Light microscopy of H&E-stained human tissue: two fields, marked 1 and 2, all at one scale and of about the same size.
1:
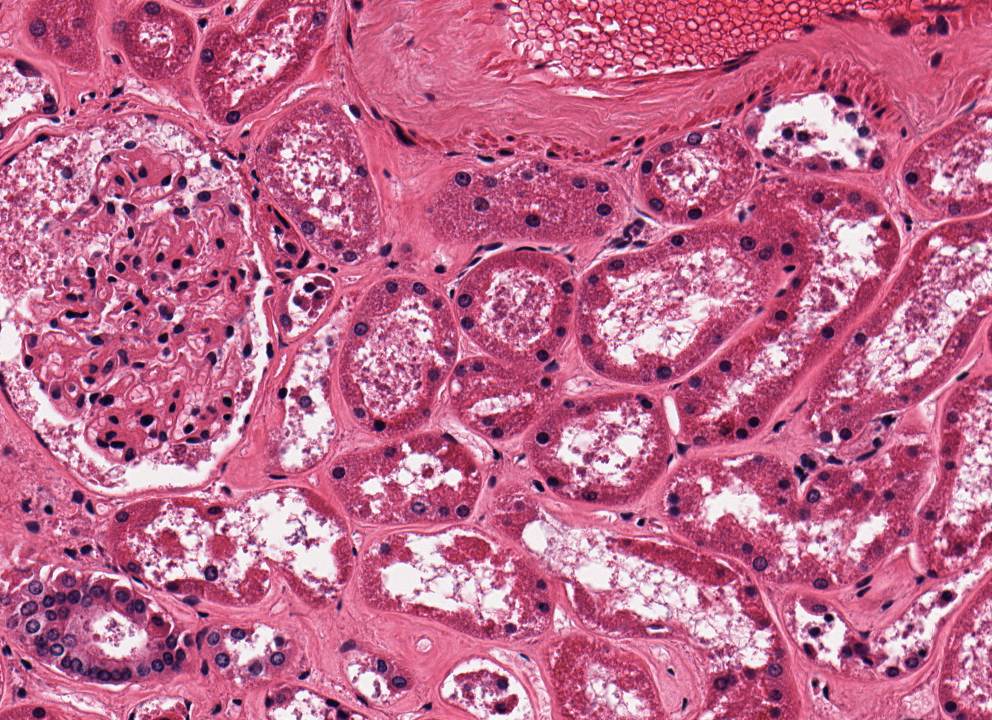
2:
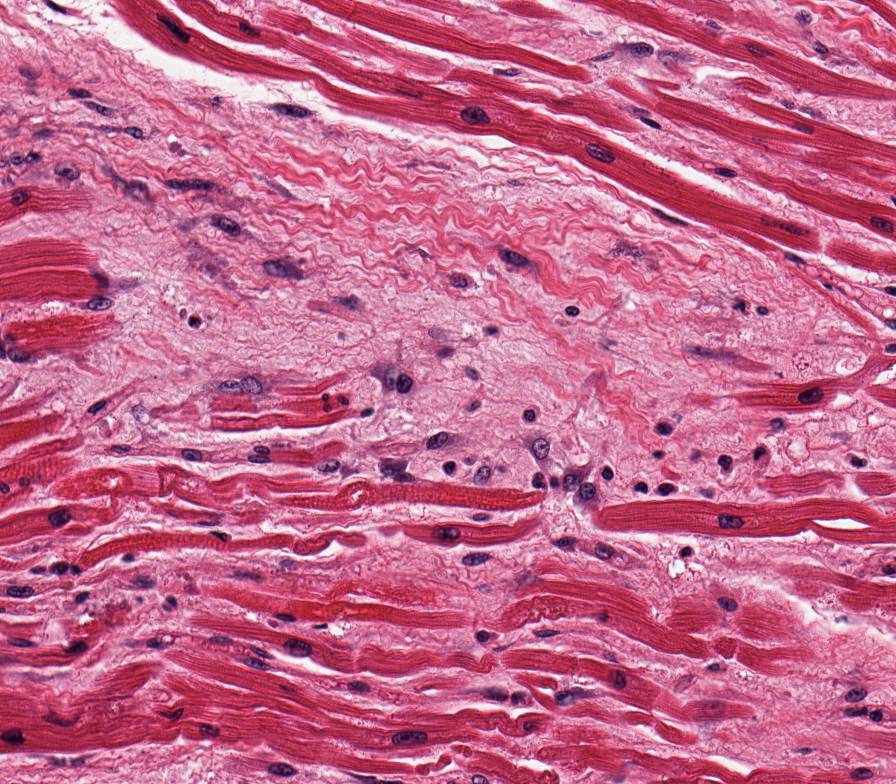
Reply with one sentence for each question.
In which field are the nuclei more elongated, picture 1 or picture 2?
It is picture 2 whose nuclei are the more elongated.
